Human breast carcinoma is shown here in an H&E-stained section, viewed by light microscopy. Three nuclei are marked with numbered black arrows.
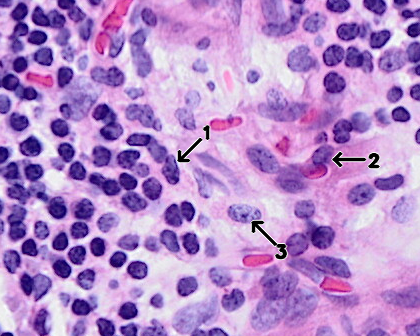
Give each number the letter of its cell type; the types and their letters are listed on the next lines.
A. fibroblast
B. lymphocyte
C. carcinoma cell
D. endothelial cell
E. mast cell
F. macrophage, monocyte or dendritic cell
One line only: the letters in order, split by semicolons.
B; D; E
